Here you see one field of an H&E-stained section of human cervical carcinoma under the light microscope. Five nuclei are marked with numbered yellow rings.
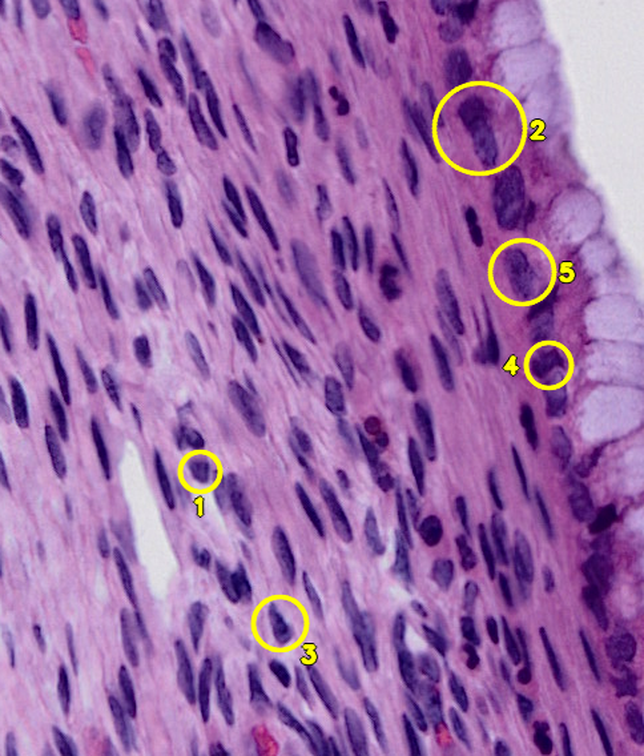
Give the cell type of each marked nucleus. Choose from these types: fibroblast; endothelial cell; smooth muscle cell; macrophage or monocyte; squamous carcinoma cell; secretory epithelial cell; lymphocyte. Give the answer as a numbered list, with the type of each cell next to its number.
1. lymphocyte
2. secretory epithelial cell
3. fibroblast
4. secretory epithelial cell
5. secretory epithelial cell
